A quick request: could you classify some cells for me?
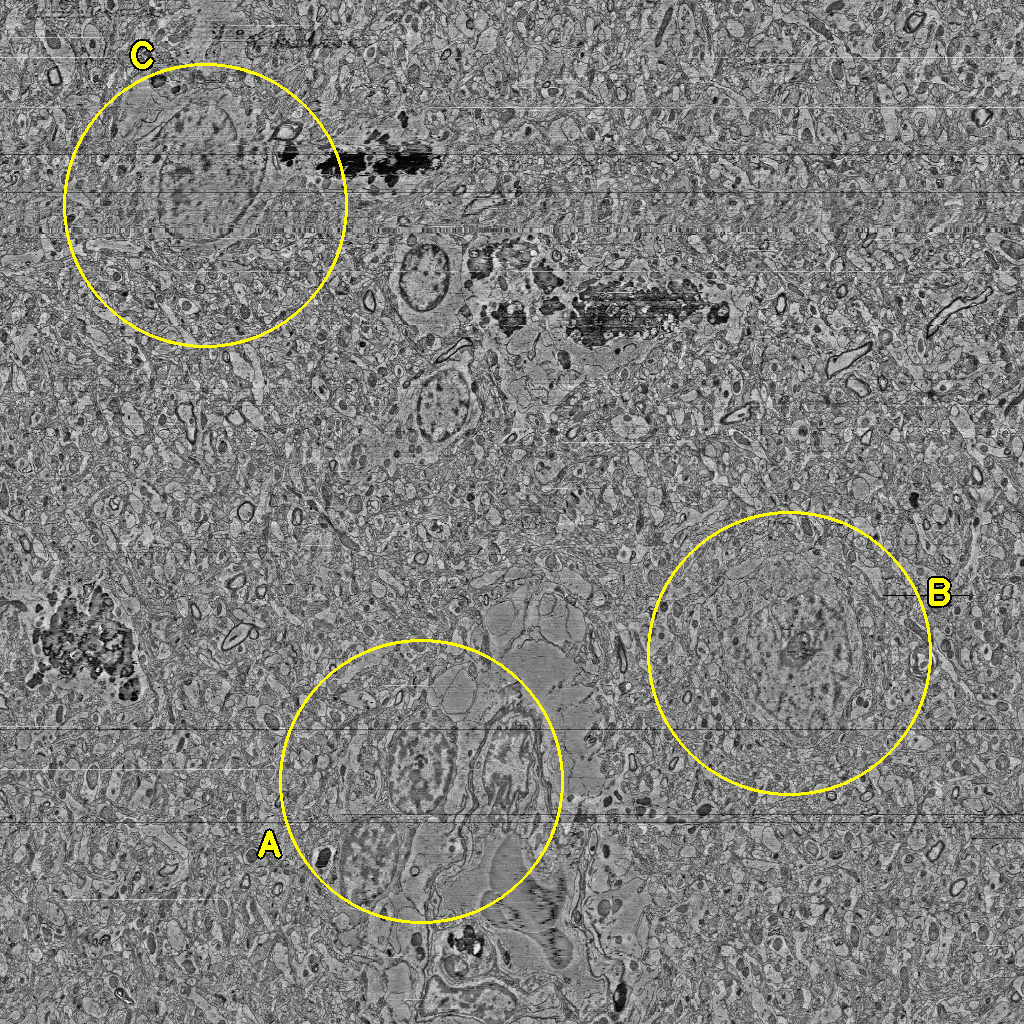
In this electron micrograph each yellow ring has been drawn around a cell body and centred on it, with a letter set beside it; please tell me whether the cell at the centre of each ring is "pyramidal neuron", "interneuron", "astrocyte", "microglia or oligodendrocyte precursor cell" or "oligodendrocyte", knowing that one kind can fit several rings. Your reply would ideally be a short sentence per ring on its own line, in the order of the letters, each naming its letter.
Ring A has an oligodendrocyte at its centre.
Ring B has an interneuron at its centre.
Ring C has an astrocyte at its centre.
